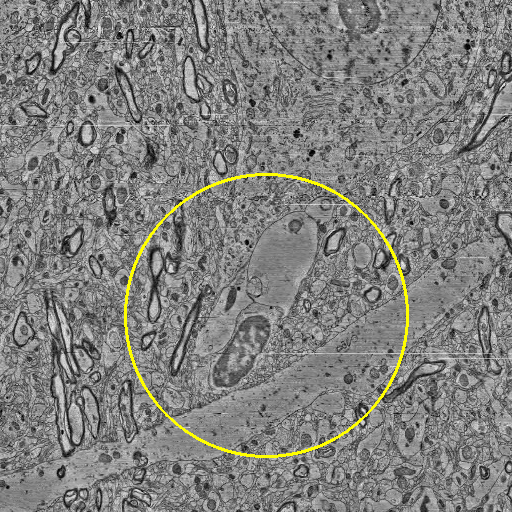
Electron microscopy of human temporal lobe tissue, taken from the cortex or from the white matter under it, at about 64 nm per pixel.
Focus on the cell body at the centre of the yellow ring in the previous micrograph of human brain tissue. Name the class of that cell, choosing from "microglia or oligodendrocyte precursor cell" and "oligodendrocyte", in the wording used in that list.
microglia or oligodendrocyte precursor cell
